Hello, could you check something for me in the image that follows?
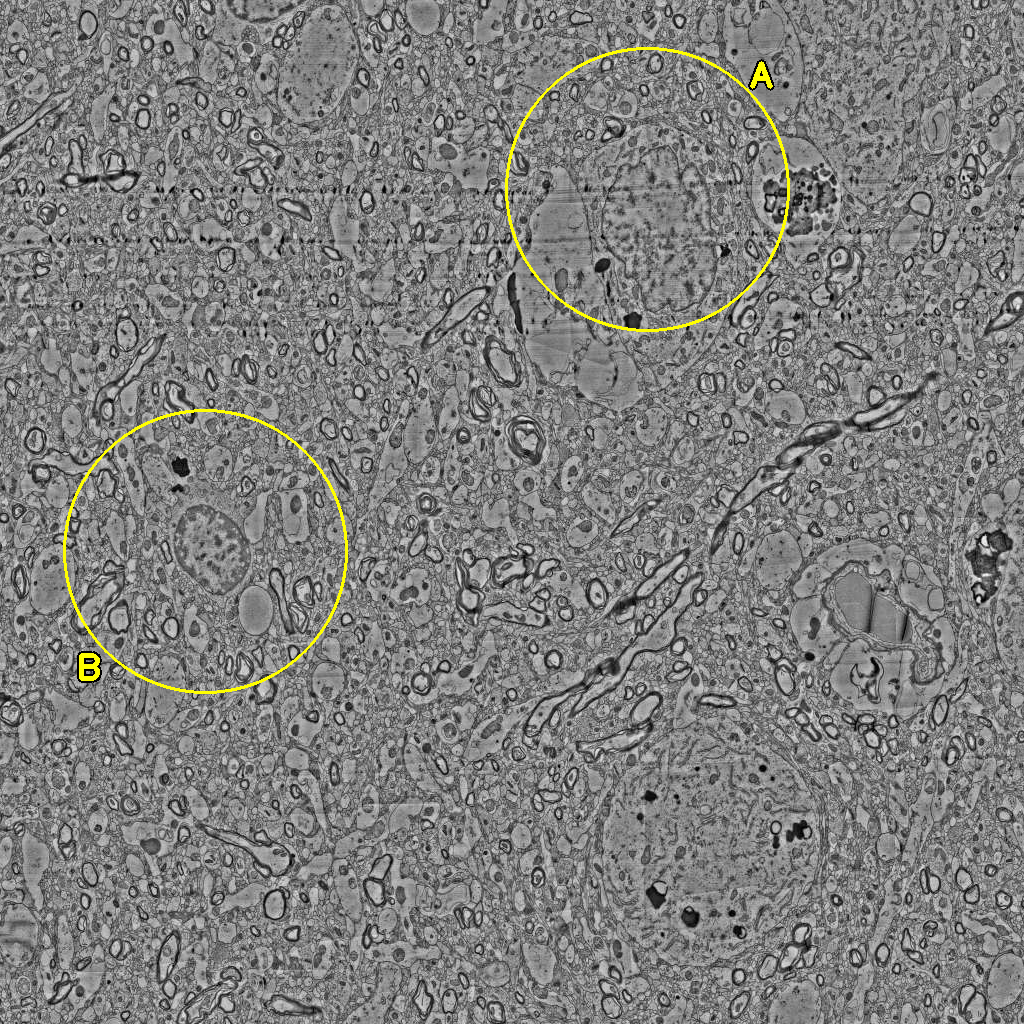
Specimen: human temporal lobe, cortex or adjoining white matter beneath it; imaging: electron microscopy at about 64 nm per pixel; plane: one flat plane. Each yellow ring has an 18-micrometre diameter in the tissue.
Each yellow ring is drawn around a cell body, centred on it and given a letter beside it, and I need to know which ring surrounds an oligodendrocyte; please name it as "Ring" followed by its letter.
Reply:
Ring B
